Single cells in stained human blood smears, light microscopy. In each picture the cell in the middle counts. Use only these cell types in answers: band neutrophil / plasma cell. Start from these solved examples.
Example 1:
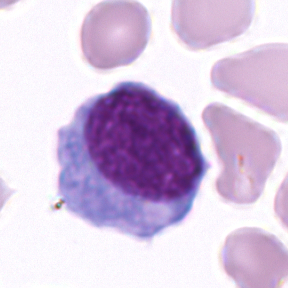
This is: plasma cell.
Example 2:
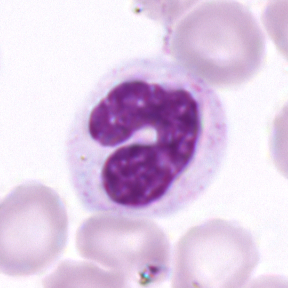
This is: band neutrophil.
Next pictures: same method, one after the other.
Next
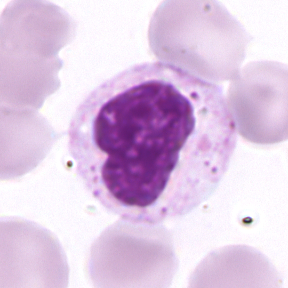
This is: band neutrophil.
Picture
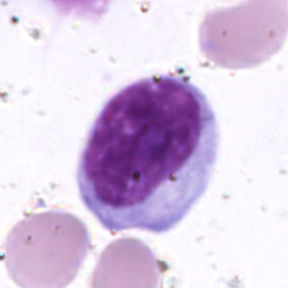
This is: plasma cell.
